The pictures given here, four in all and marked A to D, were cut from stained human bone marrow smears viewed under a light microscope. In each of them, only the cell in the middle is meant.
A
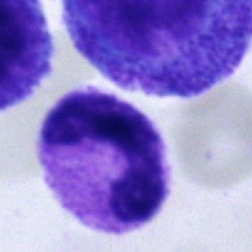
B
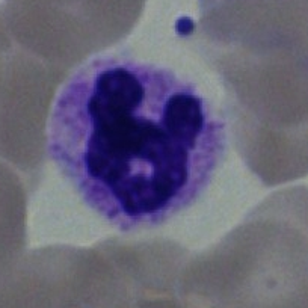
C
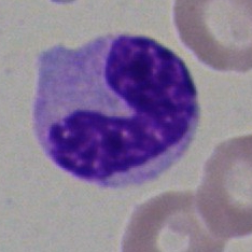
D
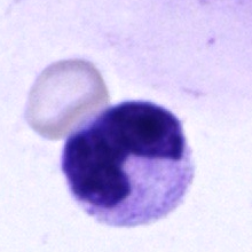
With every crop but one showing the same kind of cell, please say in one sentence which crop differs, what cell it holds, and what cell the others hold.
Shown in crop B is a segmented neutrophil, in contrast to the band neutrophils of all the other crops.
